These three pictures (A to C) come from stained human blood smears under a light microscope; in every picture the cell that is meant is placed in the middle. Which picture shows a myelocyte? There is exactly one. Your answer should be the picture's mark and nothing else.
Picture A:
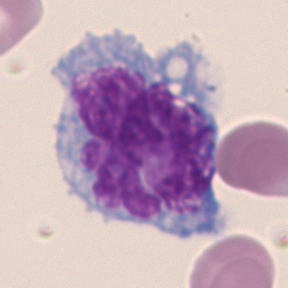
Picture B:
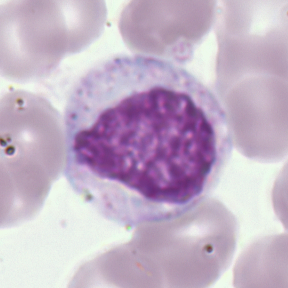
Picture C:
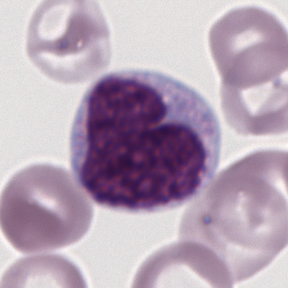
B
